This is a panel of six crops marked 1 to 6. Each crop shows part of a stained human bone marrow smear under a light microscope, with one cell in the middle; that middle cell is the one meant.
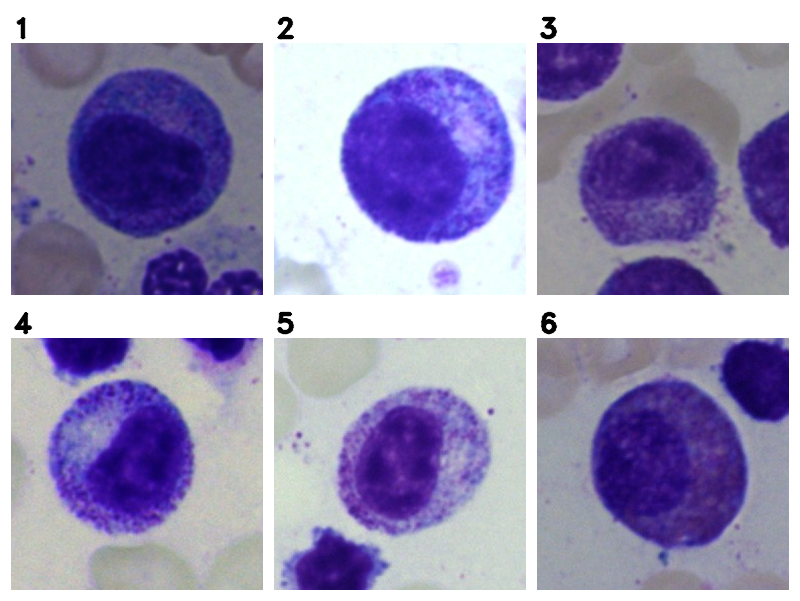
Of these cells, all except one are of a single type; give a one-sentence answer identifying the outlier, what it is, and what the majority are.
Of the crops, all show myelocytes save crop 6, which shows an eosinophil.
